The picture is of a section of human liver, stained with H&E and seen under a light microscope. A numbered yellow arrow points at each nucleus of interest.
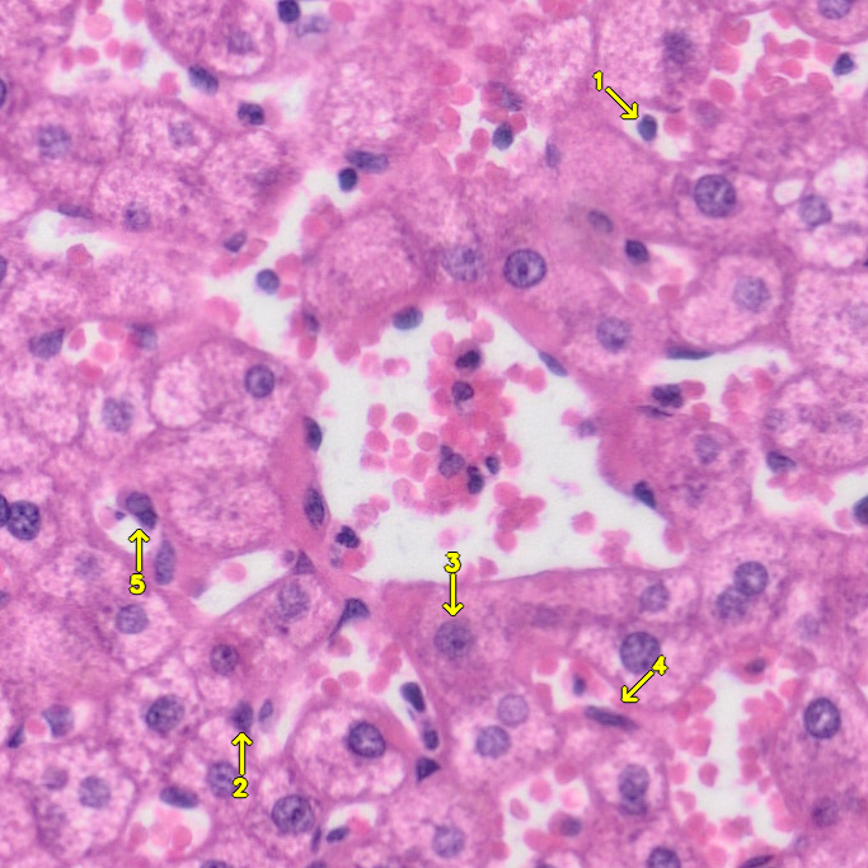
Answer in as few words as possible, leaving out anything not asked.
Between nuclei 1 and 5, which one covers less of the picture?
1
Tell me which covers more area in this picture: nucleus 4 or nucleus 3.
3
